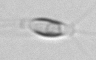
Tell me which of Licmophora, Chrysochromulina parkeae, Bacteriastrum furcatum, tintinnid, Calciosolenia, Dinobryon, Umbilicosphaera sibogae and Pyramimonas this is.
The picture shows Chrysochromulina parkeae.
